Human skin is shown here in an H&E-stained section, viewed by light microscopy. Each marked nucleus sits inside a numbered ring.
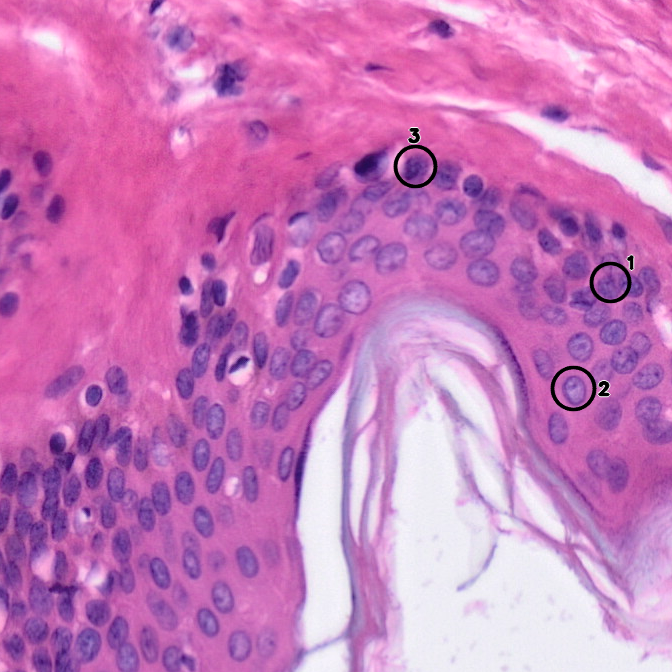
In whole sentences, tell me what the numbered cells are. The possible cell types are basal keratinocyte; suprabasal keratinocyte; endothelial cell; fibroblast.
Cells 1 and 3 are basal keratinocytes. Cell 2 is a suprabasal keratinocyte.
